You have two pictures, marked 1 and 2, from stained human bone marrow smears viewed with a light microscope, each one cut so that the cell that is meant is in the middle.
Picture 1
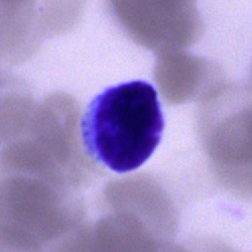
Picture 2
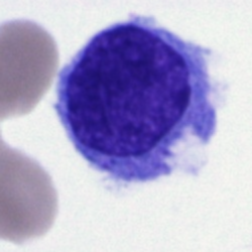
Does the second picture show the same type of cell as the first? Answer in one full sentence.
No; the cell in picture 1 is a lymphocyte, while the one in picture 2 is a blast.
